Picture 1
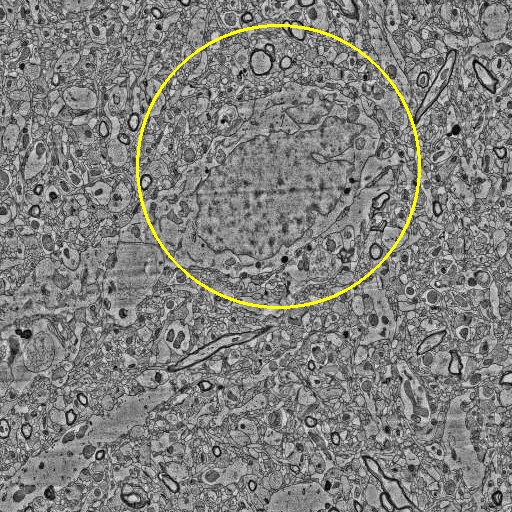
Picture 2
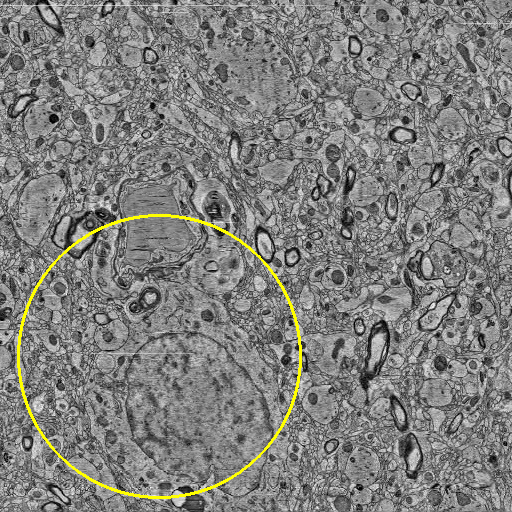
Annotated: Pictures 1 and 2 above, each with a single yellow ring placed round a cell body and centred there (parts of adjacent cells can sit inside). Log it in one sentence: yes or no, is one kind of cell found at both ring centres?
Yes, the ring centres of the two pictures hold cells of one kind.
